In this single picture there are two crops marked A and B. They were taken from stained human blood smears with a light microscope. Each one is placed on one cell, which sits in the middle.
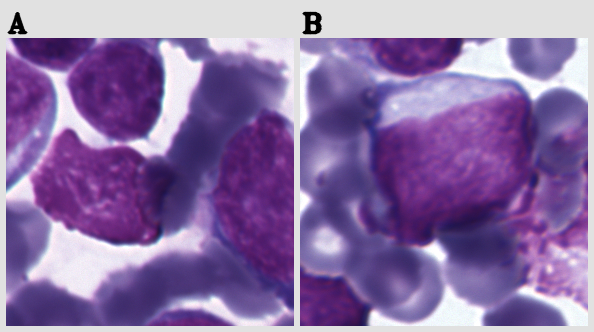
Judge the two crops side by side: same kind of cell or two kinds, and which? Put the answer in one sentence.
Yes, both crops show myeloblasts as the central cells.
